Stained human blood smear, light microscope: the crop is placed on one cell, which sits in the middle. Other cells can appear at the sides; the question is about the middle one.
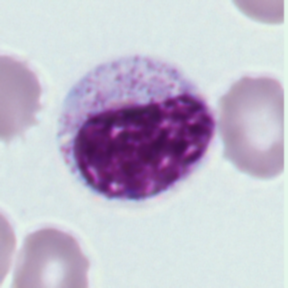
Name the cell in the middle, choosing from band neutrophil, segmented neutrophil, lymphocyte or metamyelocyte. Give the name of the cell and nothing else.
metamyelocyte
